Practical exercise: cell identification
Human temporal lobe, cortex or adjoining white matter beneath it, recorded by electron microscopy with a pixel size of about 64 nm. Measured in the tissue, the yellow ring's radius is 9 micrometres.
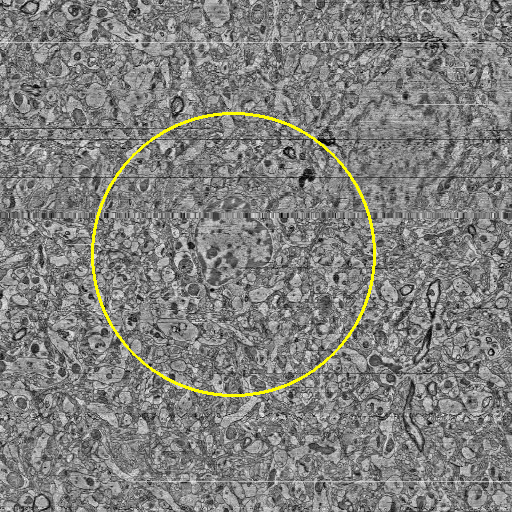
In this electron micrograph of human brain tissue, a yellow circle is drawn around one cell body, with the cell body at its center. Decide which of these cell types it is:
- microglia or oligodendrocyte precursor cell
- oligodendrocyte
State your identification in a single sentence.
The ringed cell is a microglial cell or oligodendrocyte precursor cell.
